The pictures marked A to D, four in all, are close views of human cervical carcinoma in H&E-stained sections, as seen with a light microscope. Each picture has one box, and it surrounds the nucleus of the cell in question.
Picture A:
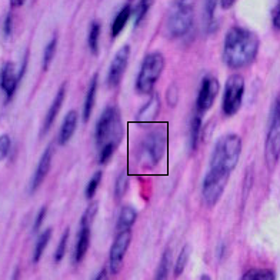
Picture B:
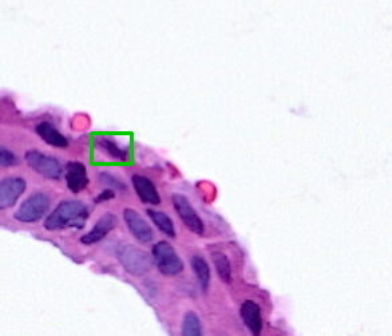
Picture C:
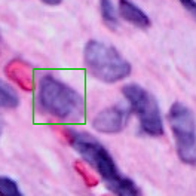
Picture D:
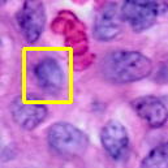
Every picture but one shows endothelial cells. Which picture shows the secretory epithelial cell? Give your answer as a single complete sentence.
The secretory epithelial cell is the one in picture B.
